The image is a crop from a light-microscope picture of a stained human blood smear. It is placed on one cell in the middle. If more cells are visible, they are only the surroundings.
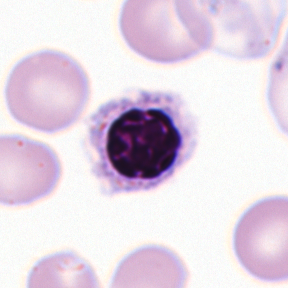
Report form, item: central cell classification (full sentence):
The cell at the heart of this crop is an erythroblast.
